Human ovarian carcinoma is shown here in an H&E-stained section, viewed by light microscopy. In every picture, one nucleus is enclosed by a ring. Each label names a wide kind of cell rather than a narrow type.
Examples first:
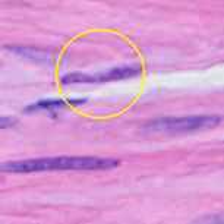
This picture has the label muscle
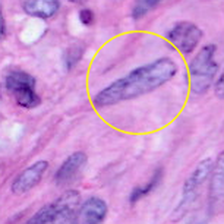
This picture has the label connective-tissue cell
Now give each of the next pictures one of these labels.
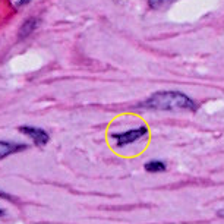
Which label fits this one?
connective-tissue cell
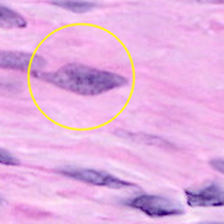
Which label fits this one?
muscle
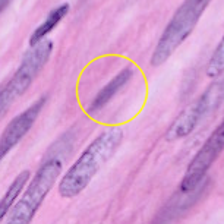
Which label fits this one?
muscle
